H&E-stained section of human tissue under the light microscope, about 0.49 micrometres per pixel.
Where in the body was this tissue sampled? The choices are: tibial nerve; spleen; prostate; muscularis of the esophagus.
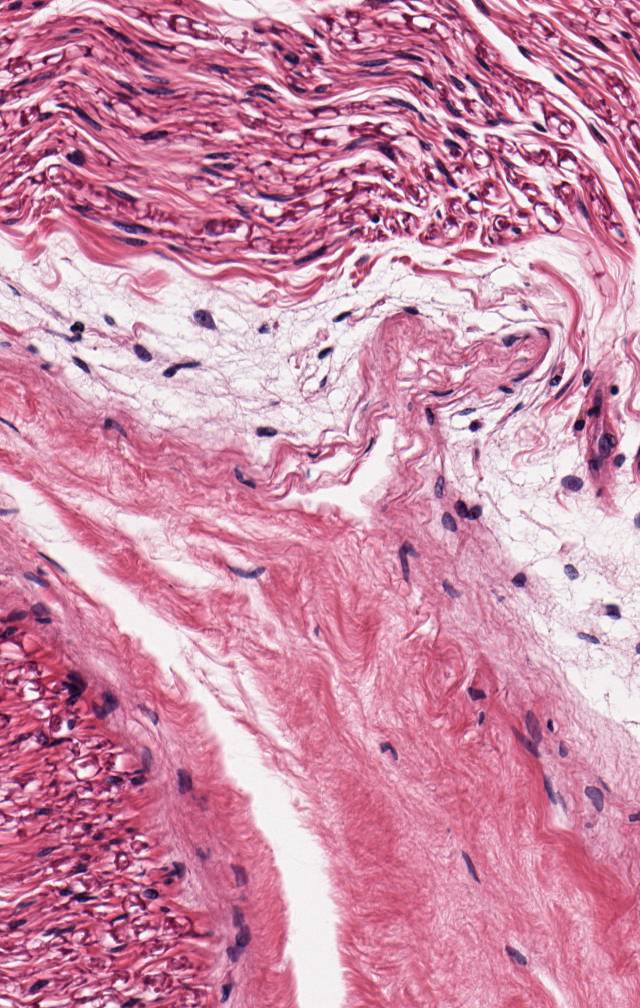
tibial nerve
